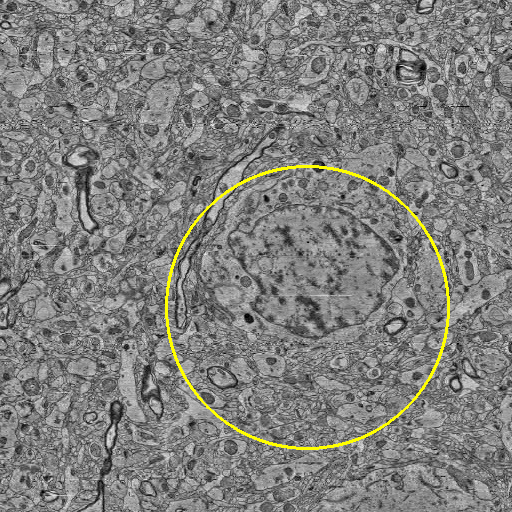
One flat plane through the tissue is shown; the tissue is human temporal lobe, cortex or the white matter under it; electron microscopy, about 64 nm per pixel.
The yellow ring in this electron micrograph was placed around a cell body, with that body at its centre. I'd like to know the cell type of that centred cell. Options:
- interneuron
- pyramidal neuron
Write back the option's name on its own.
interneuron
